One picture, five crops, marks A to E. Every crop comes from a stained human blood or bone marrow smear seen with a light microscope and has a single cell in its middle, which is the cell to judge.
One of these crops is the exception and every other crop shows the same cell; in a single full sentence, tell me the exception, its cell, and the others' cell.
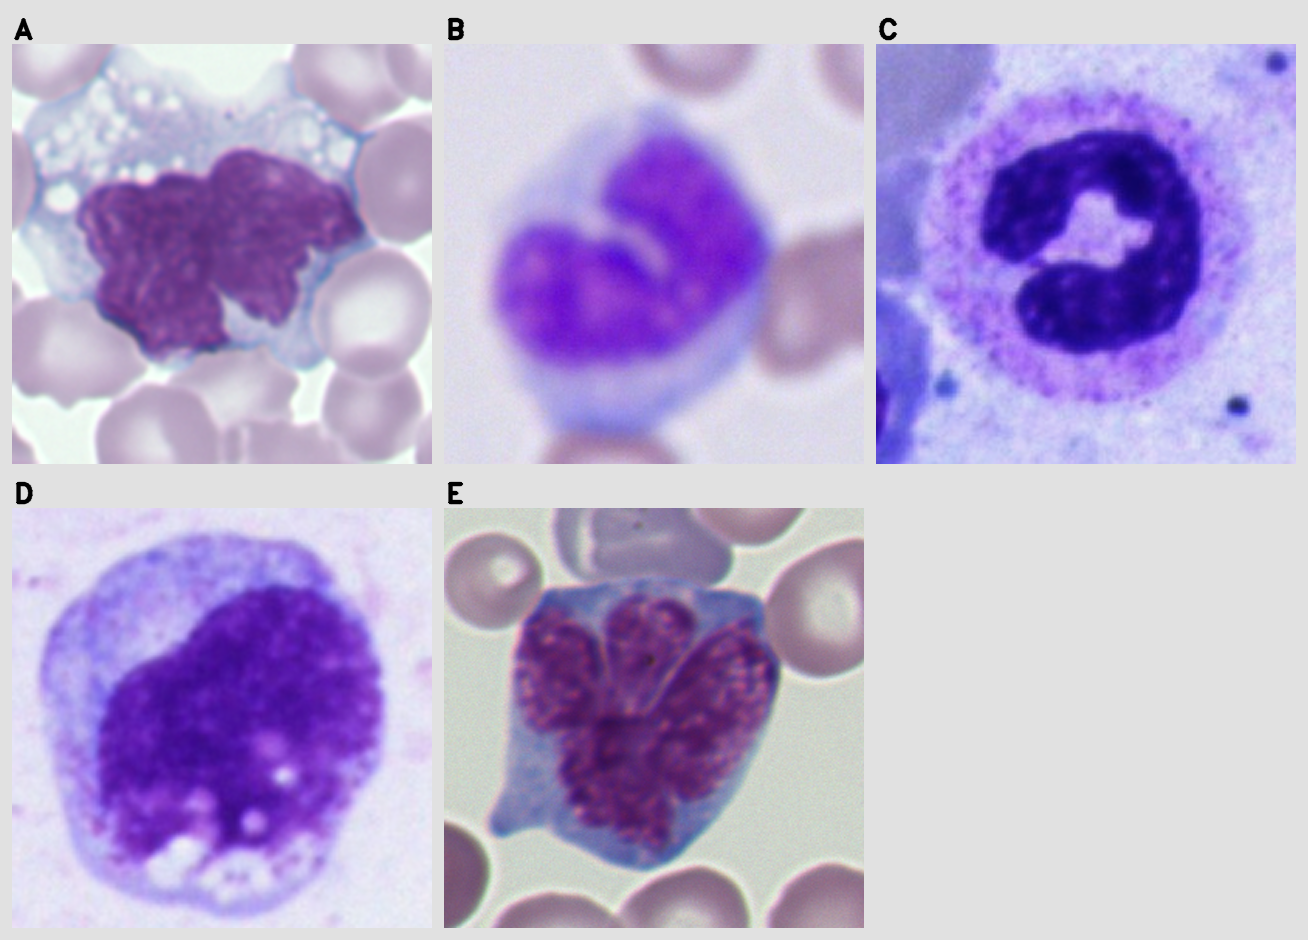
Crop C differs, its cell being a neutrophil, whereas the other crops show monocytes.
